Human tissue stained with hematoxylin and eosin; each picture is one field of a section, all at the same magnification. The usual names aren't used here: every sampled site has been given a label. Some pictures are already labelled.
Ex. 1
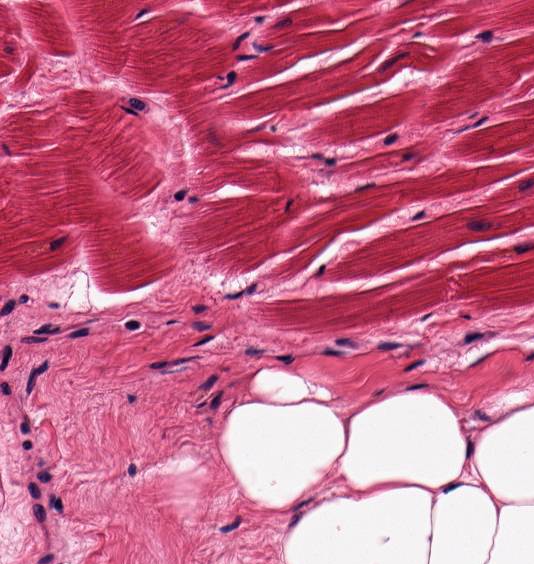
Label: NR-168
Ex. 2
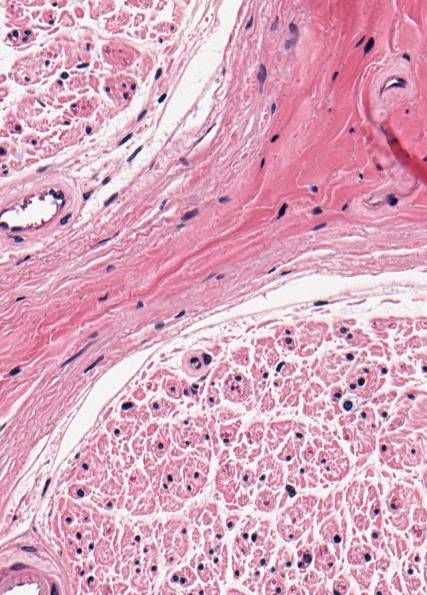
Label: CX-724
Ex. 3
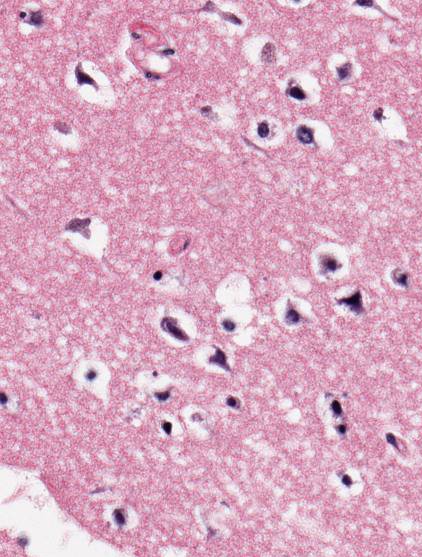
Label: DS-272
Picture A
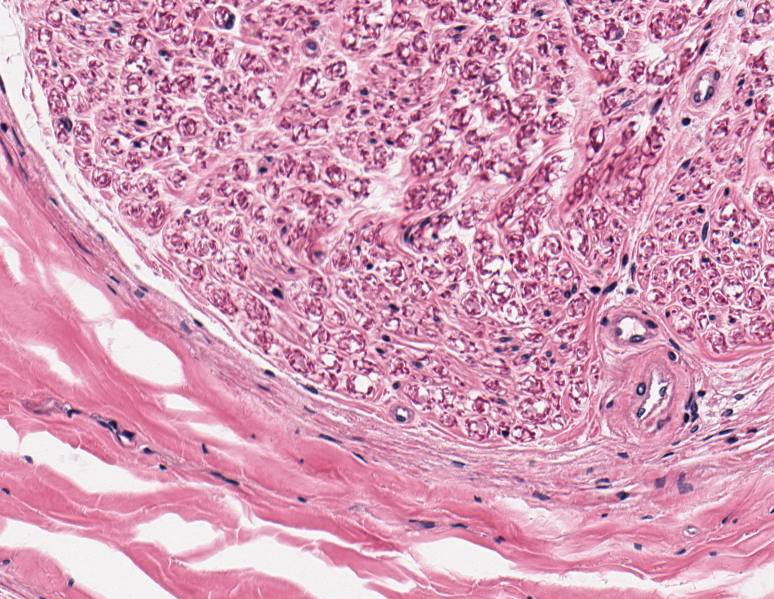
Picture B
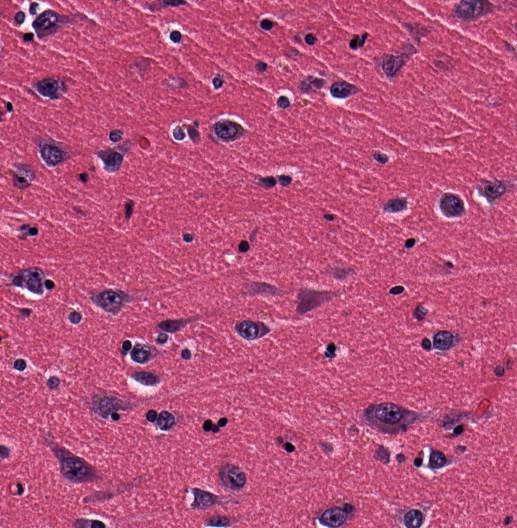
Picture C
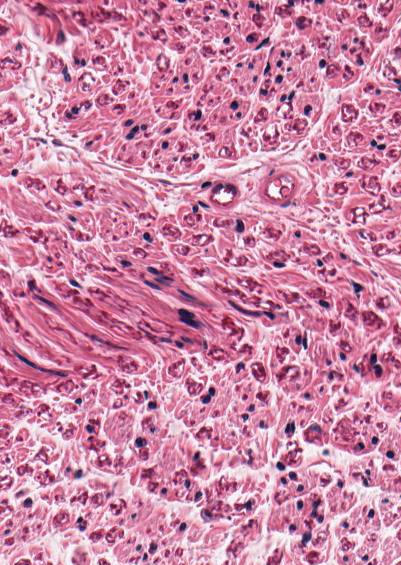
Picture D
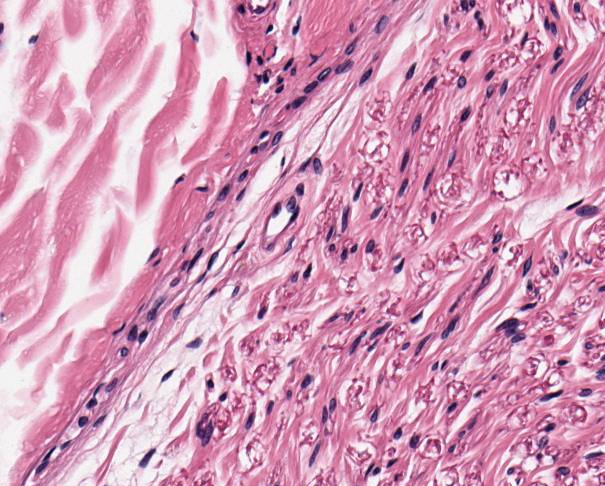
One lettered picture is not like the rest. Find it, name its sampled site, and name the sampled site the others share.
B (DS-272) is the exception; every other picture is CX-724.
